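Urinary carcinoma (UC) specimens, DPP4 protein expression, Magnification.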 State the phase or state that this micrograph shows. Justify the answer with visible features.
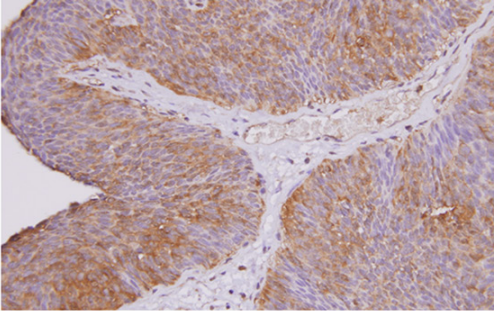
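Thick layers of fairly uniform epithelial cells line a thin fibrovascular stalk. The cells keep an orderly, layered arrangement. No nests of tumour cells lie within the stroma. So: Low-grade and non-invasive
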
